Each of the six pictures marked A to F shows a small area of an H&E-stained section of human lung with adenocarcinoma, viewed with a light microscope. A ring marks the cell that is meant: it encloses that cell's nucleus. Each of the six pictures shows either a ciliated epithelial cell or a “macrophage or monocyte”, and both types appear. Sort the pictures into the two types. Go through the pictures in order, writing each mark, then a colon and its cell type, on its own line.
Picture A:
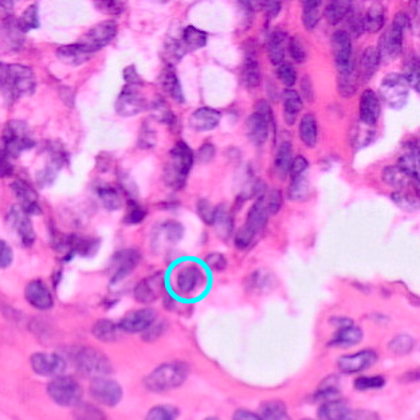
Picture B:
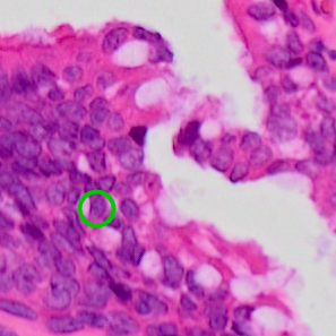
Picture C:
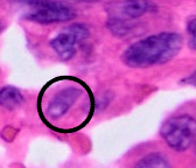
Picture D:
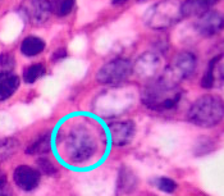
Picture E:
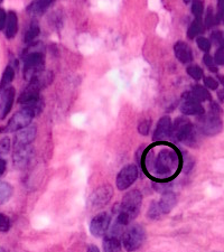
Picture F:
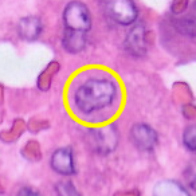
A: ciliated epithelial cell
B: ciliated epithelial cell
C: macrophage or monocyte
D: ciliated epithelial cell
E: ciliated epithelial cell
F: macrophage or monocyte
